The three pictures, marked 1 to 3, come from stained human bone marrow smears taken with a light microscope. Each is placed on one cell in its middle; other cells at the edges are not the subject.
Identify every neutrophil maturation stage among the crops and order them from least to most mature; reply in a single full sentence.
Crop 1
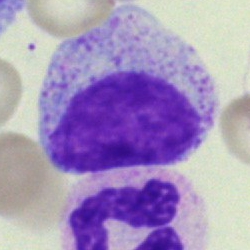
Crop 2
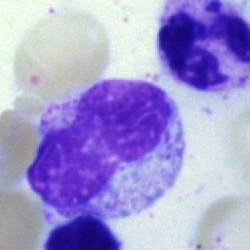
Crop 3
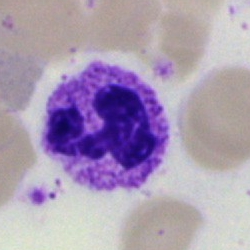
From the earliest stage onward, the order is crop 1 (a myelocyte), crop 2 (a metamyelocyte) and crop 3 (a segmented neutrophil).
